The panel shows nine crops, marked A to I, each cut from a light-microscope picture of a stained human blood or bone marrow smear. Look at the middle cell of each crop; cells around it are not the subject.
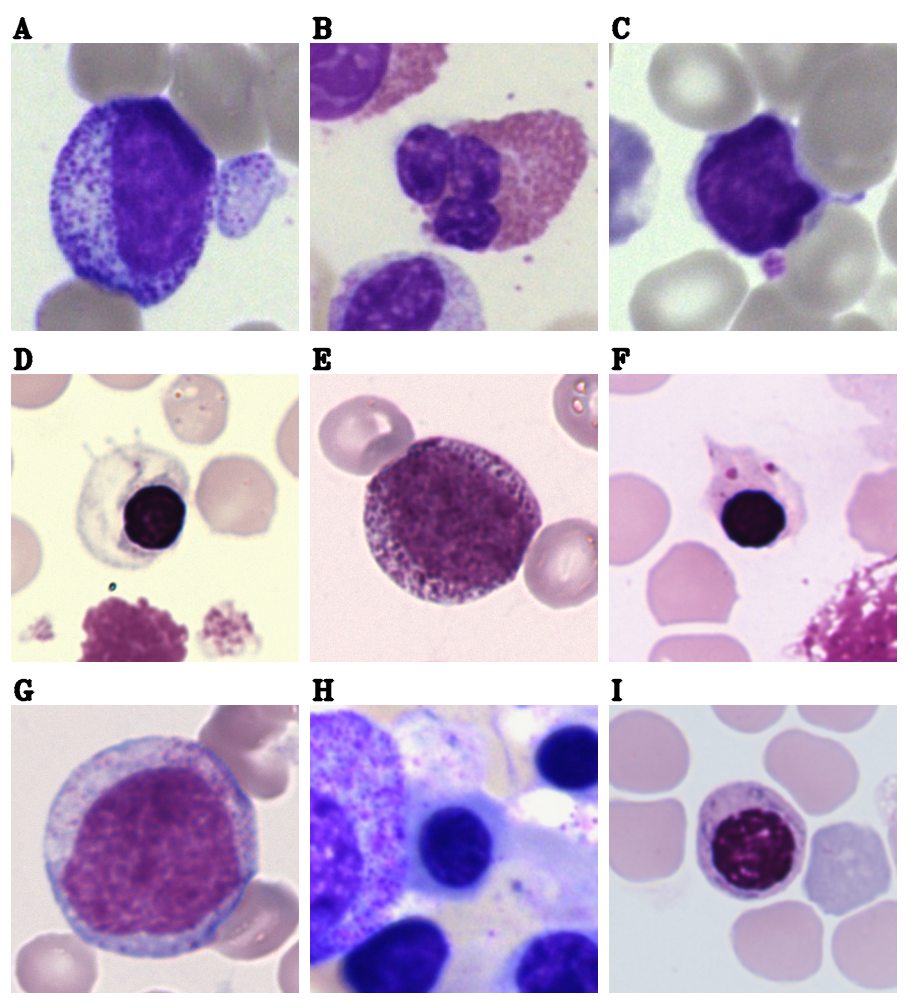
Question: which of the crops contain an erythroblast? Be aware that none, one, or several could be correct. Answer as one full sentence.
The cells centred in crops D, F, H and I are erythroblasts.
